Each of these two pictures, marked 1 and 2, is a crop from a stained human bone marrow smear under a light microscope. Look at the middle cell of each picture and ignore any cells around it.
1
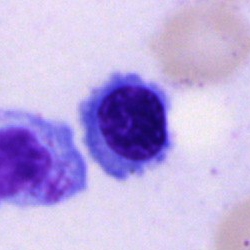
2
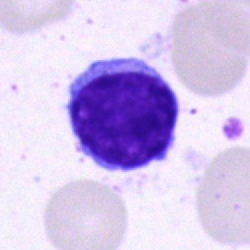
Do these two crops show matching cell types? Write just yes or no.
no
